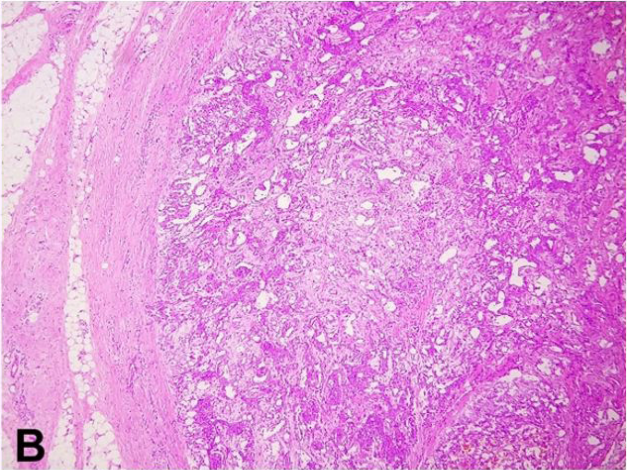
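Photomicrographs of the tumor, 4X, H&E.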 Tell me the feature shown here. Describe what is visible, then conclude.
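Fibrous capsule. A band of dense pink fibrous tissue runs along the left side of the tumor. Fat cells lie outside this band at the far left. The cellular tumor lies to the right of the band.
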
